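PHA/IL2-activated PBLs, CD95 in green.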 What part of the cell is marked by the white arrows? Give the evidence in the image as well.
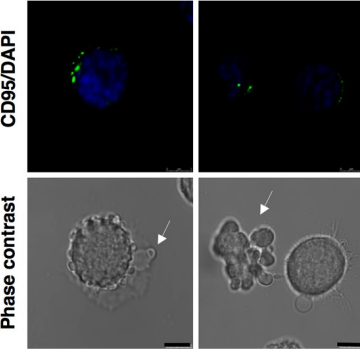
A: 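The white arrows point to small round membrane bulges budding from the cell surface. A cluster of round bulges sits beside one cell. So: blebs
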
